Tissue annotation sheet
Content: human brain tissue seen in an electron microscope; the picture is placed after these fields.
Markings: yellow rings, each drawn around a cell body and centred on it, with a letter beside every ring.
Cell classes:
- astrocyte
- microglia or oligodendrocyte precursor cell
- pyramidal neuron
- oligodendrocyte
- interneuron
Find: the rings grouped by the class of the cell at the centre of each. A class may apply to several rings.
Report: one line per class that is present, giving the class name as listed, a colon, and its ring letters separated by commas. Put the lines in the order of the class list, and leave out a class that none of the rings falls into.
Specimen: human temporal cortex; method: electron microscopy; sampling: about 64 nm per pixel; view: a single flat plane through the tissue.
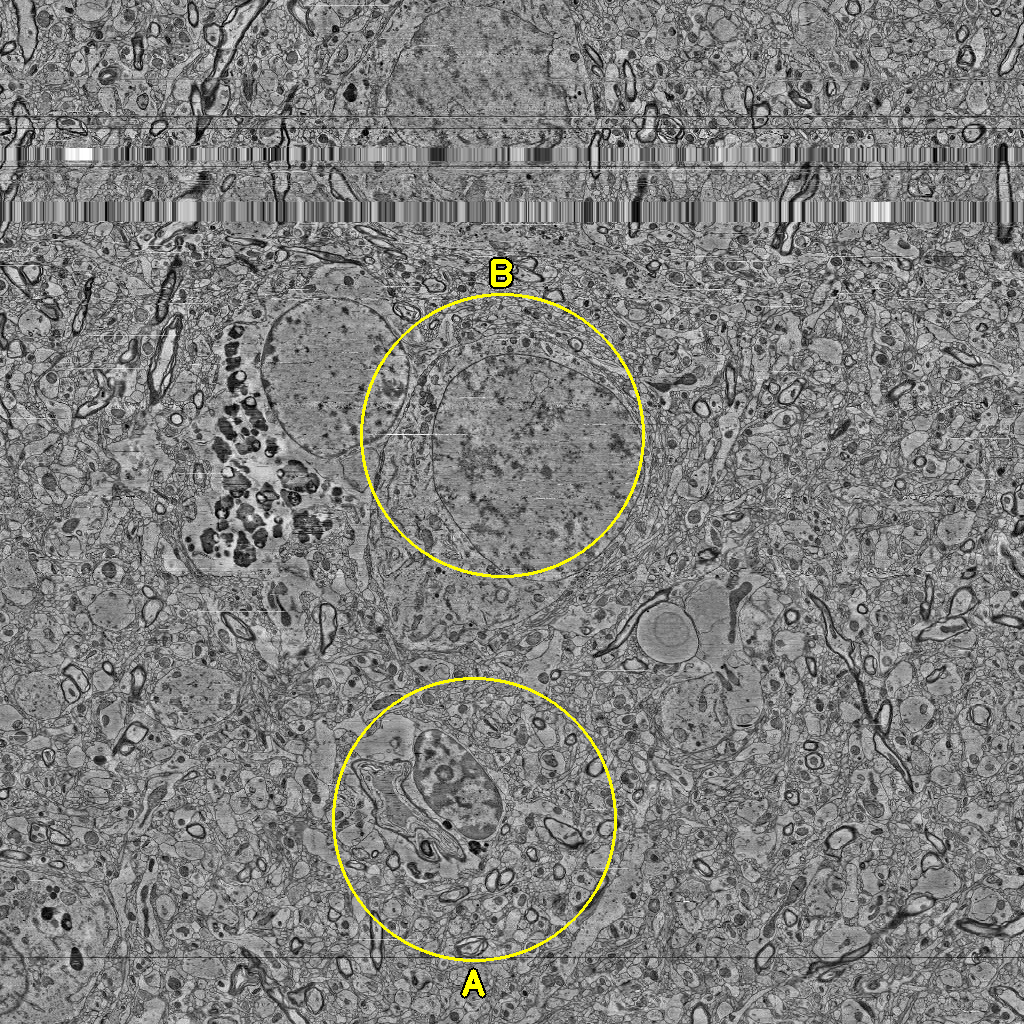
microglia or oligodendrocyte precursor cell: A
pyramidal neuron: B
